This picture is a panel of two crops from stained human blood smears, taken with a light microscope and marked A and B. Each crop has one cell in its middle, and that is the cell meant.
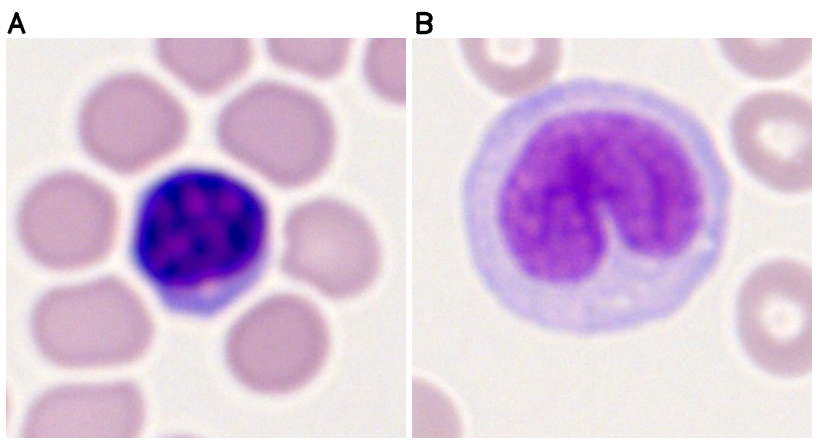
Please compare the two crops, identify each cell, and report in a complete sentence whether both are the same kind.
No, at the centre of crop A is a lymphocyte, and at the centre of crop B is a monocyte.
